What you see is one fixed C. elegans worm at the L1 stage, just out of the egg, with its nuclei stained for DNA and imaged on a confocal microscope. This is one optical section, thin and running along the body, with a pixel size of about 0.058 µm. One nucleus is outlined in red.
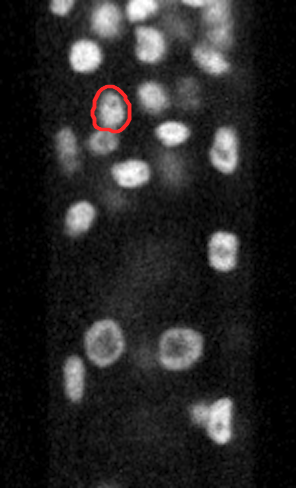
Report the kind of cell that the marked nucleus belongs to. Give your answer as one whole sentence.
It is the nucleus of a pharyngeal marginal cell.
